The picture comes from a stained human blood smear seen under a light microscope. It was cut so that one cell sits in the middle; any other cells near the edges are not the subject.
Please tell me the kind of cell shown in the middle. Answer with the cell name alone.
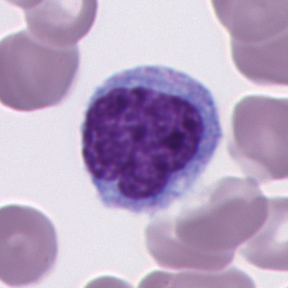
monocyte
